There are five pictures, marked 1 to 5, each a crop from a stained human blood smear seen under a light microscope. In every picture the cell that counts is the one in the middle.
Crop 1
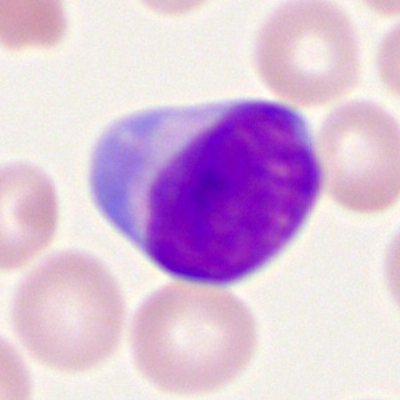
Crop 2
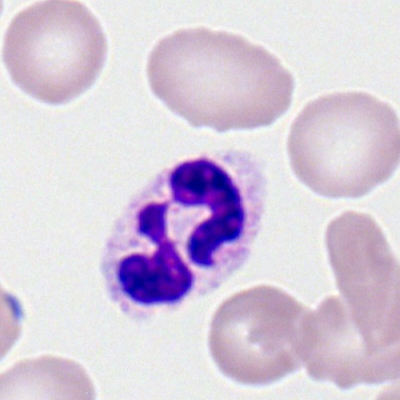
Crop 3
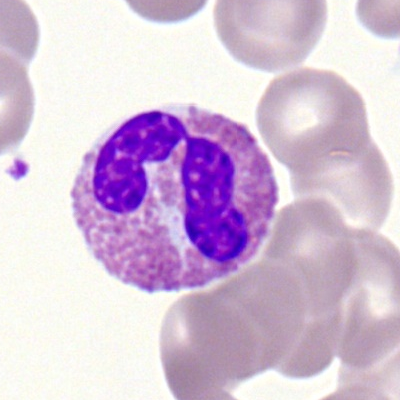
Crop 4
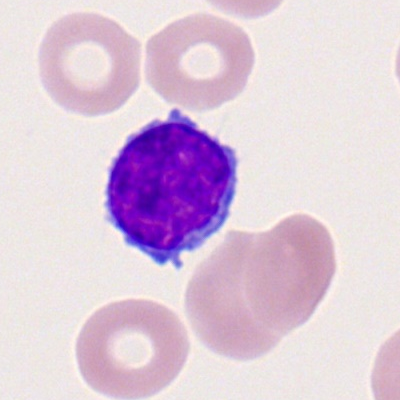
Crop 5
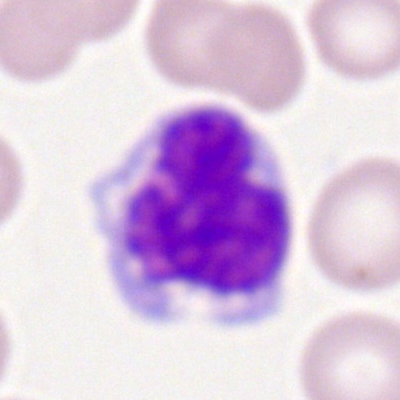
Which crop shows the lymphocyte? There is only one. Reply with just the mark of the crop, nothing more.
4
